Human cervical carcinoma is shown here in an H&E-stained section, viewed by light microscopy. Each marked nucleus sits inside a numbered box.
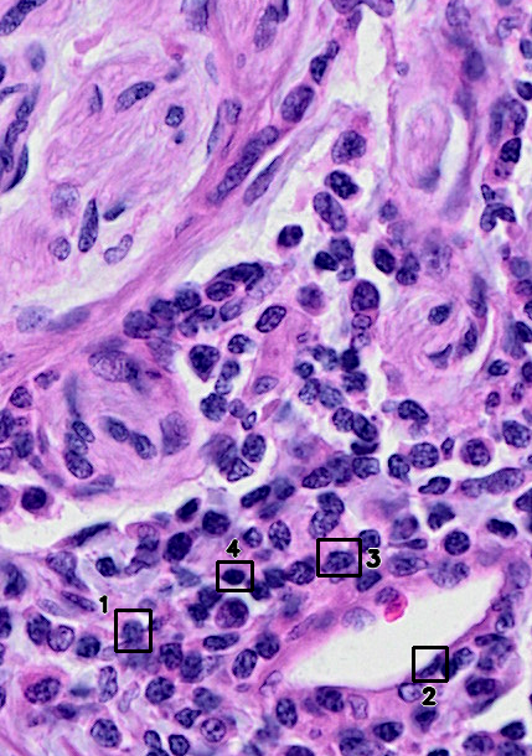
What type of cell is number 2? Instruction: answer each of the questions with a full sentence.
In the tissue shown, cell 2 is an endothelial cell.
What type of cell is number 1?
The cell identified by number 1 is a lymphocyte.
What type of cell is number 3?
The cell given label 3 is a lymphocyte.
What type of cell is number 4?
Cell number 4 in this section is a lymphocyte.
